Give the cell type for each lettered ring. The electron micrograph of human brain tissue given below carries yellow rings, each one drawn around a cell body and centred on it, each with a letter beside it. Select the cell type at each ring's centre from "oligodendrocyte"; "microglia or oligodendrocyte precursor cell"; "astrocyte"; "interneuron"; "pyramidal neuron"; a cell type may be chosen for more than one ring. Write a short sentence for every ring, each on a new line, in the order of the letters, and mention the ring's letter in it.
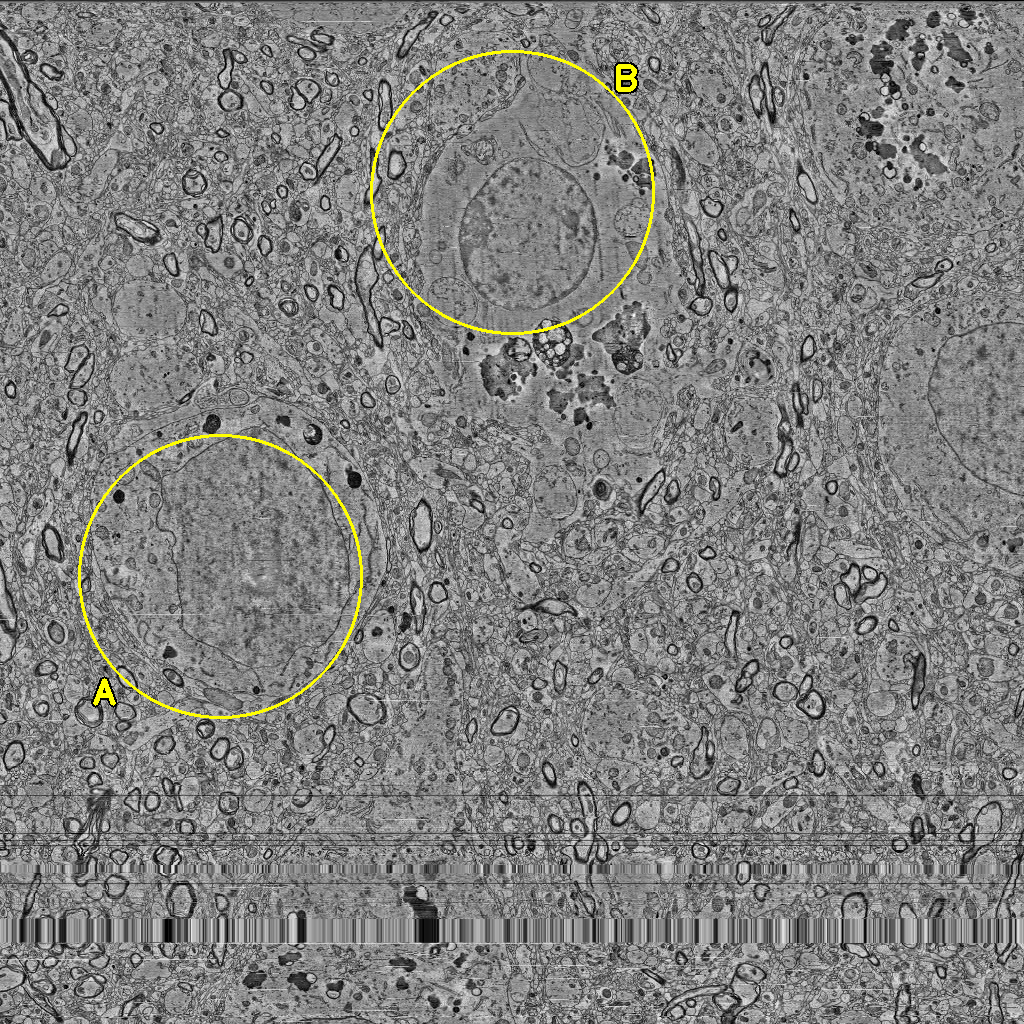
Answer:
The cell type for ring A is a pyramidal neuron.
The cell type for ring B is an astrocyte.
